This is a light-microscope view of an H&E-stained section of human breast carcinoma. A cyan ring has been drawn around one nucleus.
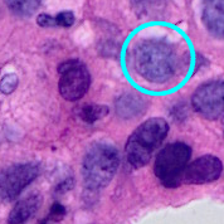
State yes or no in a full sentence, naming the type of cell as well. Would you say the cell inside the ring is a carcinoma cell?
Yes, when classified by type, the cell inside the ring is a carcinoma cell.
